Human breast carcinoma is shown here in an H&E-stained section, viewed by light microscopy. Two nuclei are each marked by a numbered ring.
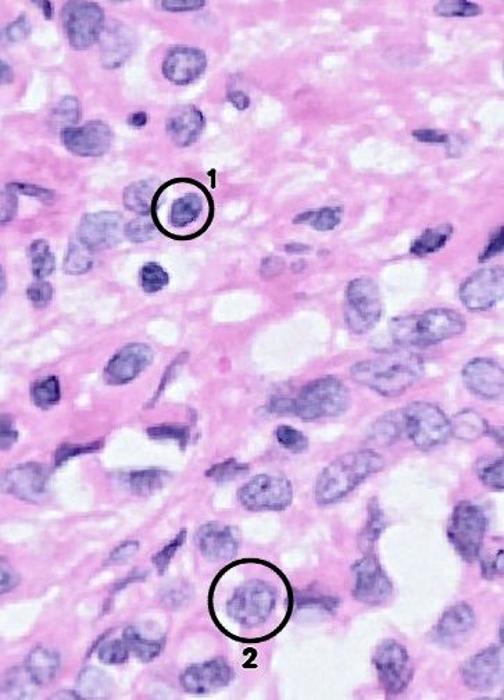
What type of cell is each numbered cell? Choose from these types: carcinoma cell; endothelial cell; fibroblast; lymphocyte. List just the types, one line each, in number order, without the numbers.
lymphocyte
carcinoma cell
